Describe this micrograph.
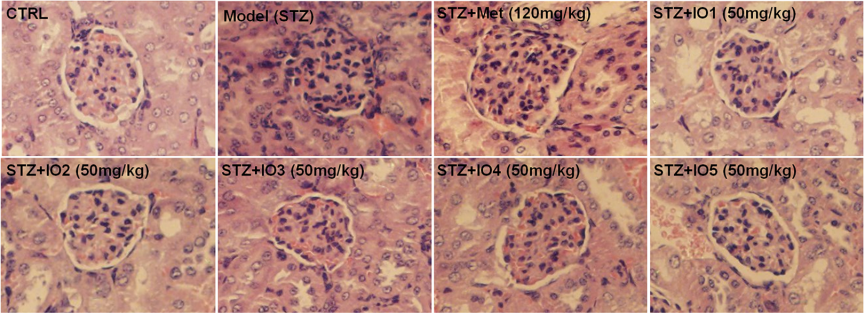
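These are sections of kidney cortex, each tile centred on a glomerulus. The glomerulus is a rounded tuft of capillary loops packed with dark purple nuclei, set inside a narrow clear space and bounded by a thin capsule. Around it lie cross-cut tubules whose lining cells have pink cytoplasm and round, evenly spaced nuclei. Compare the tufts from tile to tile: some are compact and tidy with a clear rim of space around them, while others look larger and more crowded with dark nuclei, so that the tuft fills the capsule more completely and the surrounding tissue looks more disordered.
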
